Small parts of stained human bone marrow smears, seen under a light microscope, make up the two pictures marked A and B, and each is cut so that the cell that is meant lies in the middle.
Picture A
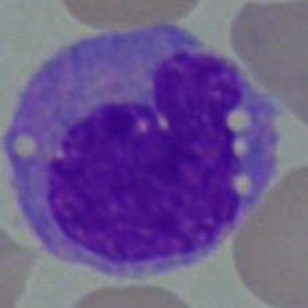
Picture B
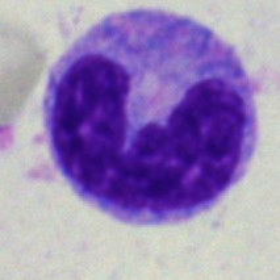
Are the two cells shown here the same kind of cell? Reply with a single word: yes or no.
yes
